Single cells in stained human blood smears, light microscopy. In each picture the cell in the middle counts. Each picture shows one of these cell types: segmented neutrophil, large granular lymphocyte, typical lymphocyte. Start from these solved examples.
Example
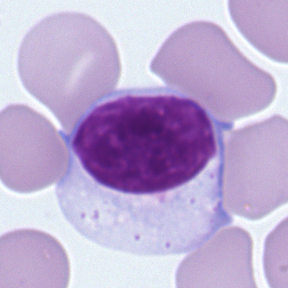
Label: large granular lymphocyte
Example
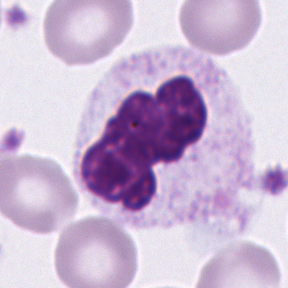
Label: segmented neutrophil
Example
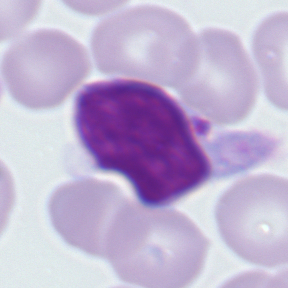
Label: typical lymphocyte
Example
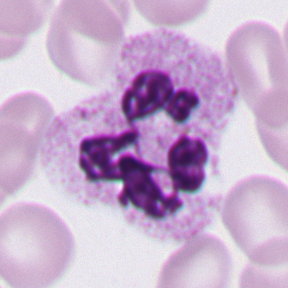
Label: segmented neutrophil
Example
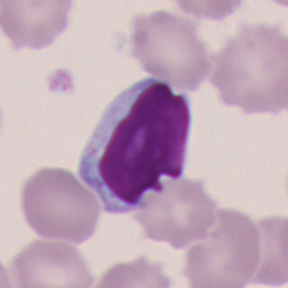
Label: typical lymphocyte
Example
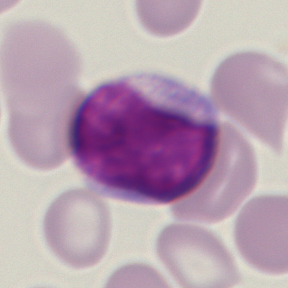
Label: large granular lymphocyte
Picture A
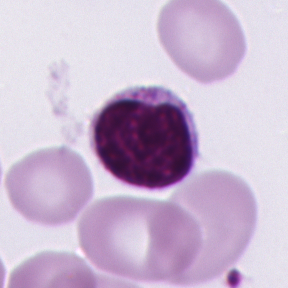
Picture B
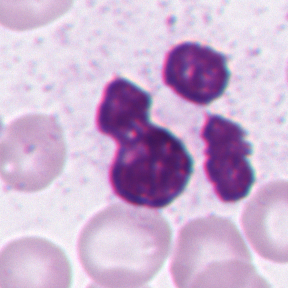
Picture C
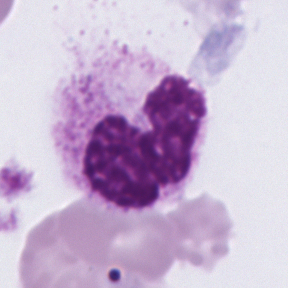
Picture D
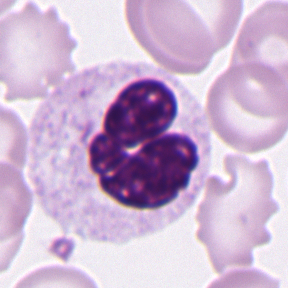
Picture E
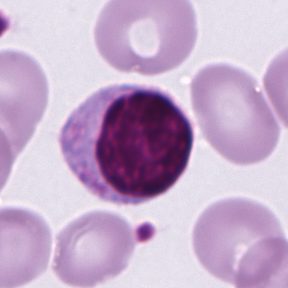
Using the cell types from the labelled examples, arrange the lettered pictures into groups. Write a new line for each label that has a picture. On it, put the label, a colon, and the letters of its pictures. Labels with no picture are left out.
segmented neutrophil: B, C, D
large granular lymphocyte: A, E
